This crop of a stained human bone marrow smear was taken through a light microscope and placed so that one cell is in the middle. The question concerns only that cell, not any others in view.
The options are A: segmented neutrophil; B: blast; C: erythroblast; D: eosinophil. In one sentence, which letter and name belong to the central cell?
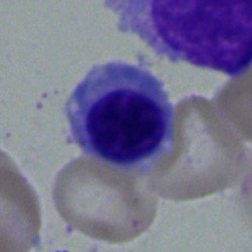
The cell in the center of this crop is an erythroblast, so option C is the one to pick.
